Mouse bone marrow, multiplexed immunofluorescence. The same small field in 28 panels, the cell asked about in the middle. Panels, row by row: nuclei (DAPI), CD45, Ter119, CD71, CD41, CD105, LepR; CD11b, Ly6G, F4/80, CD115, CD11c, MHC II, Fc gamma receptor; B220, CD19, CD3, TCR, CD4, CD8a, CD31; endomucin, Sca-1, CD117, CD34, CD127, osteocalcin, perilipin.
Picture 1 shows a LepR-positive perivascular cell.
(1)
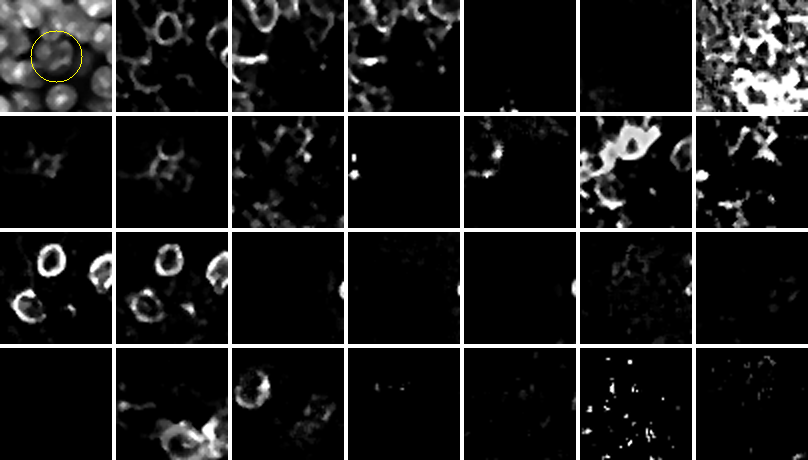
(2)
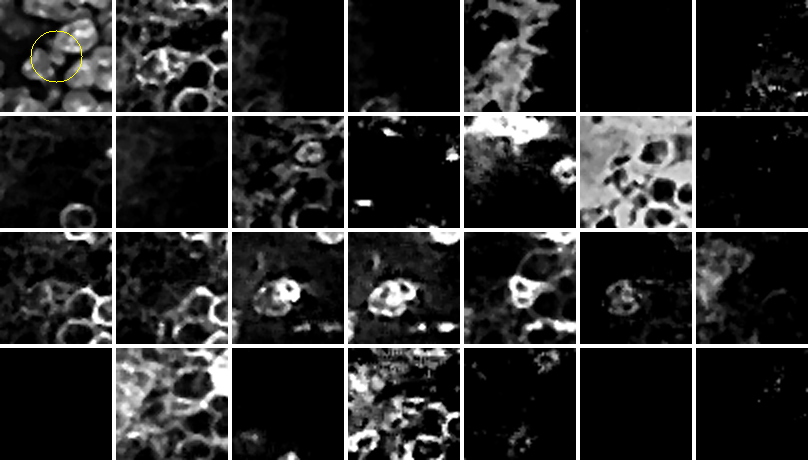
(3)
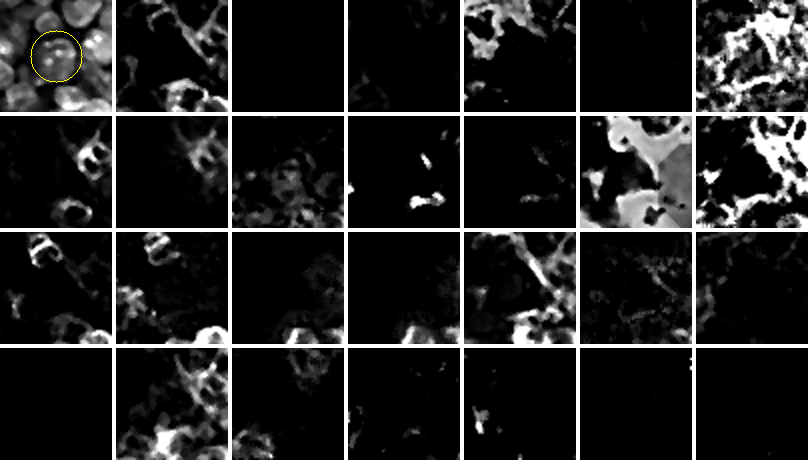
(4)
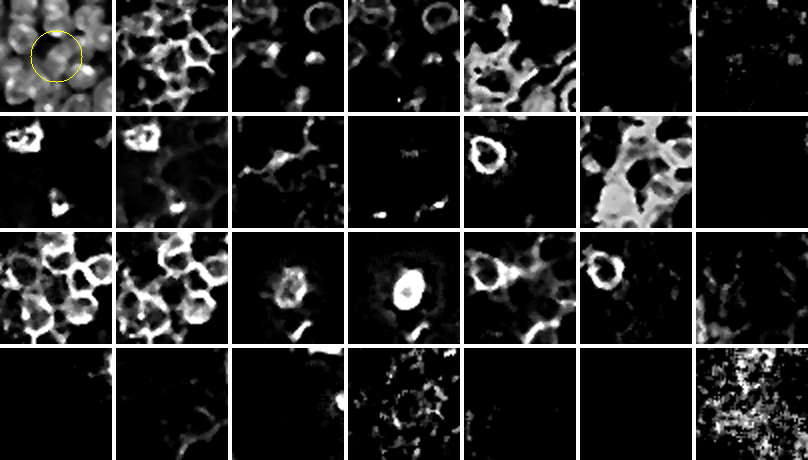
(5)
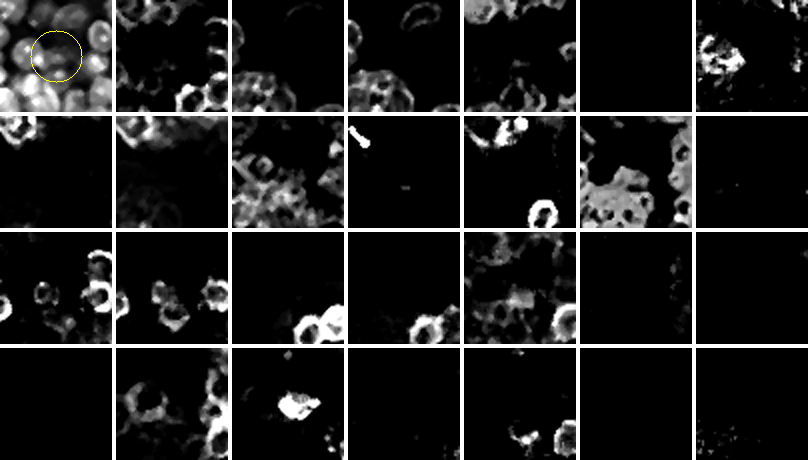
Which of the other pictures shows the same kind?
Picture 3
